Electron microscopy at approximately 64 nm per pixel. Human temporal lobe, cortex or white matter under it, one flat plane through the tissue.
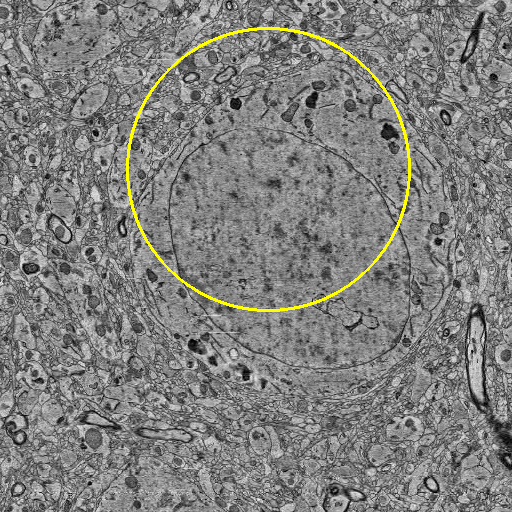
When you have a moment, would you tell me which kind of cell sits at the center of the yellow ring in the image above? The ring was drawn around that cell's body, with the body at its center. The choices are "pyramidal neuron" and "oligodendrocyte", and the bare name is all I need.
pyramidal neuron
